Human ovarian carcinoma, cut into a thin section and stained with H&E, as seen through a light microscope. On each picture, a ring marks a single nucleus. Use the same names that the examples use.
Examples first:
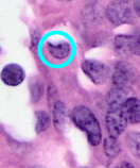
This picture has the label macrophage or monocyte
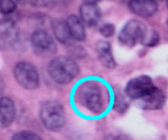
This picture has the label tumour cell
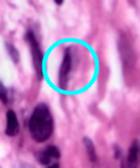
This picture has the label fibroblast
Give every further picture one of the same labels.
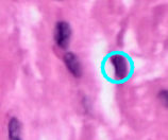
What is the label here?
fibroblast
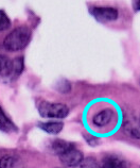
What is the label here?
macrophage or monocyte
